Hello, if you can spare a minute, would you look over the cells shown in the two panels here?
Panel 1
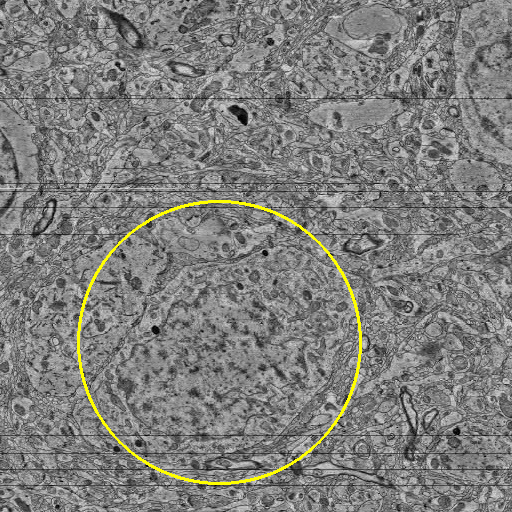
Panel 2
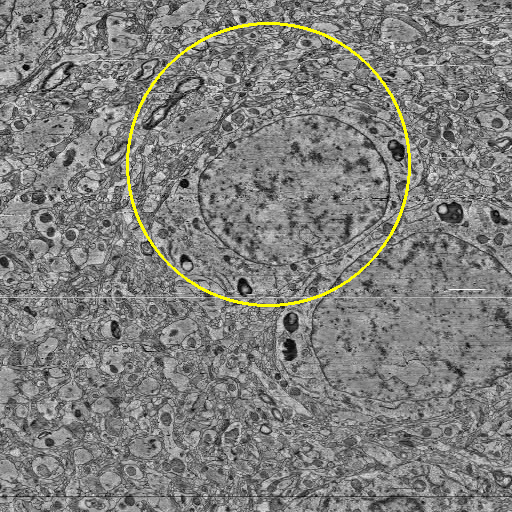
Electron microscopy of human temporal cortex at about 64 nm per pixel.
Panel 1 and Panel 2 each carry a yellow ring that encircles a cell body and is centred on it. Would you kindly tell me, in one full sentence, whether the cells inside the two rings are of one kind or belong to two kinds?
The cells at the centres of the rings in Panel 1 and Panel 2 belong to two kinds.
